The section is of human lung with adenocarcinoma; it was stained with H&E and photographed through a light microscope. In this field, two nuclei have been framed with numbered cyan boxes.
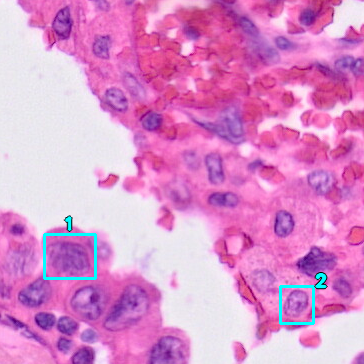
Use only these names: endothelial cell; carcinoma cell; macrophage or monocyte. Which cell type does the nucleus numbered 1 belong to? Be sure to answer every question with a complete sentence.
The cell pointed out by number 1 is a carcinoma cell.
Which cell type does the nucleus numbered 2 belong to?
The one labeled 2 is a macrophage or monocyte, to put it simply.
